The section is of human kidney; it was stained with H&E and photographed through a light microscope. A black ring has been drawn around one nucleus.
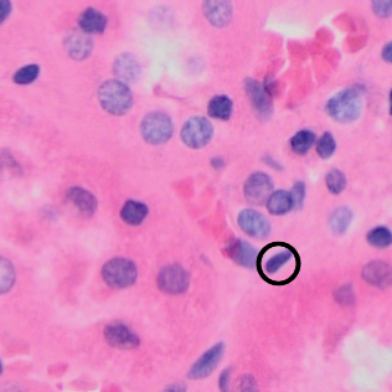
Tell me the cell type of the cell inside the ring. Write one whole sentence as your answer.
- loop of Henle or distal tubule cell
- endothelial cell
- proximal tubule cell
The expected answer is simply that the cell inside the ring is an endothelial cell.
